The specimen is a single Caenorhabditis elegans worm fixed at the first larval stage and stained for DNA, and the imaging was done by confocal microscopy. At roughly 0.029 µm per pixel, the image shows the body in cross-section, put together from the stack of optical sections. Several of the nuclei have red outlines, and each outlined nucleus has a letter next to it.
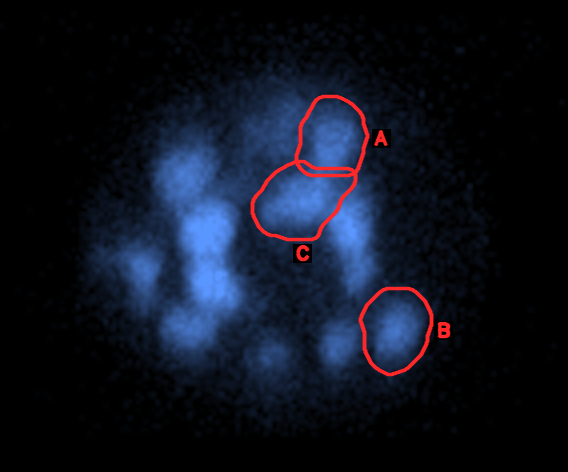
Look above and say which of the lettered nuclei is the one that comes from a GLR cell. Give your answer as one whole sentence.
The nucleus of a GLR cell is C.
